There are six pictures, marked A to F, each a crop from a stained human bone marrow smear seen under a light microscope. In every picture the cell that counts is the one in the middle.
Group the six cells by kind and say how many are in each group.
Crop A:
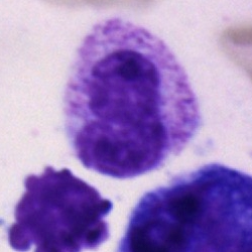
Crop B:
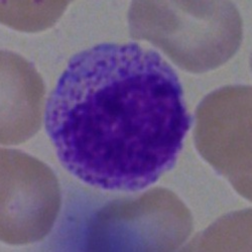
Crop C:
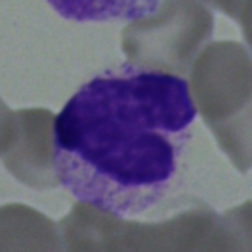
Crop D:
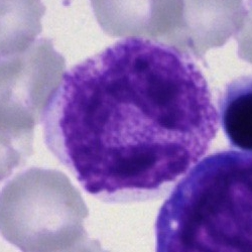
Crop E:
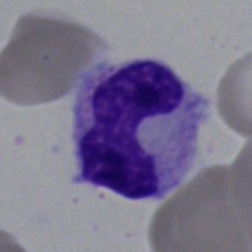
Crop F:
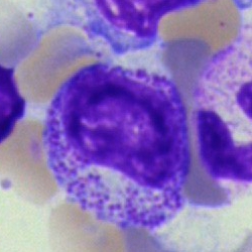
band neutrophil: 4
myelocyte: 2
